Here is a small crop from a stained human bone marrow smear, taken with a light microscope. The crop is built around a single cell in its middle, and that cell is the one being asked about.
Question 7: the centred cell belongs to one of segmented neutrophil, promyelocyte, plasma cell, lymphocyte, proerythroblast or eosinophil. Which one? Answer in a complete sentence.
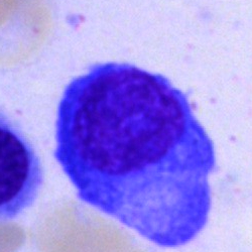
Where the crop is centred, there is a plasma cell.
